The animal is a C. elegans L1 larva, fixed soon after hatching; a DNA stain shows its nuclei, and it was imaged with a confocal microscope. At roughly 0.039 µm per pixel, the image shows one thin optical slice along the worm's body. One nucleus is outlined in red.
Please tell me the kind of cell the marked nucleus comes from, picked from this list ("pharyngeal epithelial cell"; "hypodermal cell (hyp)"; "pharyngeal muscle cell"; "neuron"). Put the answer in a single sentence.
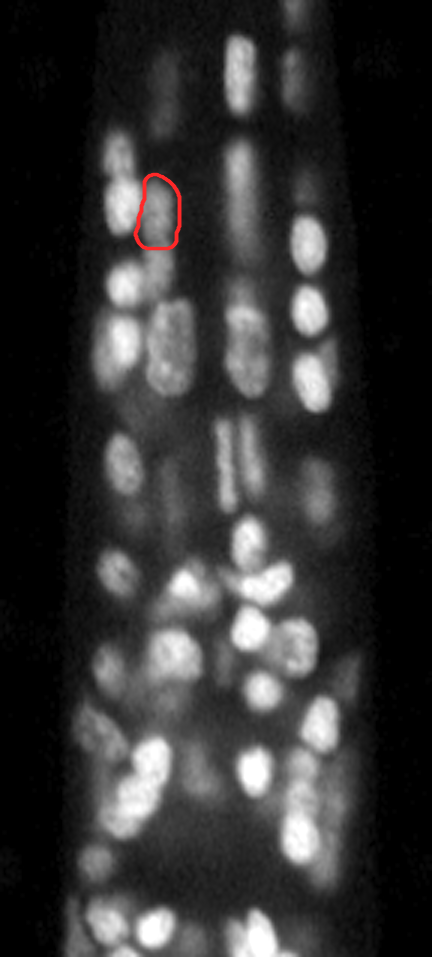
The nucleus comes from a pharyngeal muscle cell.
